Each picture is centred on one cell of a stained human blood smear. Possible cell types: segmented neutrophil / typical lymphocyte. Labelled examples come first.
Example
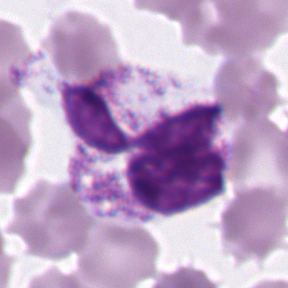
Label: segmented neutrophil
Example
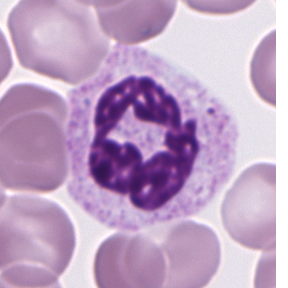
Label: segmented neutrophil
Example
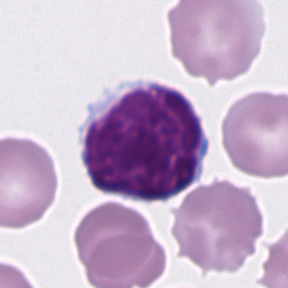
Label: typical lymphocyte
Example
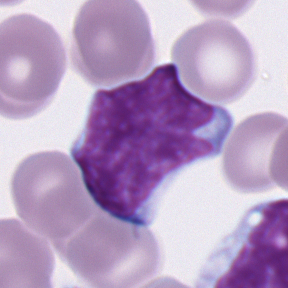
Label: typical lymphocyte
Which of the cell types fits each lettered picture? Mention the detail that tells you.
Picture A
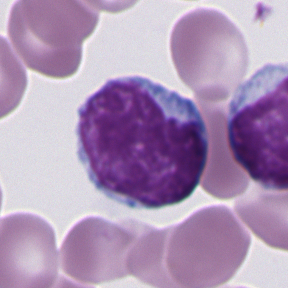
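typical lymphocyte. Reason: The cytoplasm is a narrow rim that is widest at the upper right.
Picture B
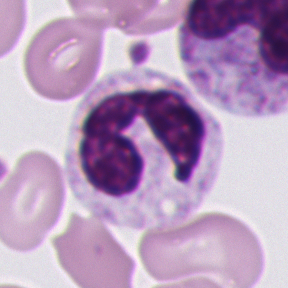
segmented neutrophil. Reason: The nucleus is bent into a curved horseshoe shape that opens toward the bottom.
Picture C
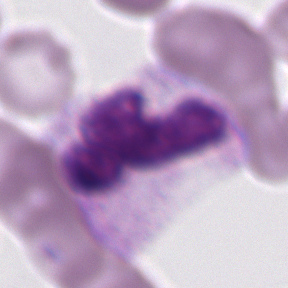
segmented neutrophil. Reason: A broad area of cytoplasm lies below the nucleus.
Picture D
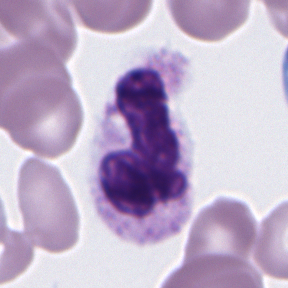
segmented neutrophil. Reason: The cytoplasm is pale and nearly colourless apart from its granules.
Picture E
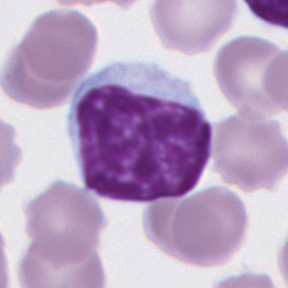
typical lymphocyte. Reason: The cytoplasm forms only a narrow rim, widest above the nucleus.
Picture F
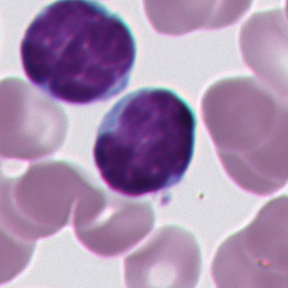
typical lymphocyte. Reason: The nucleus fills almost the whole cell.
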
